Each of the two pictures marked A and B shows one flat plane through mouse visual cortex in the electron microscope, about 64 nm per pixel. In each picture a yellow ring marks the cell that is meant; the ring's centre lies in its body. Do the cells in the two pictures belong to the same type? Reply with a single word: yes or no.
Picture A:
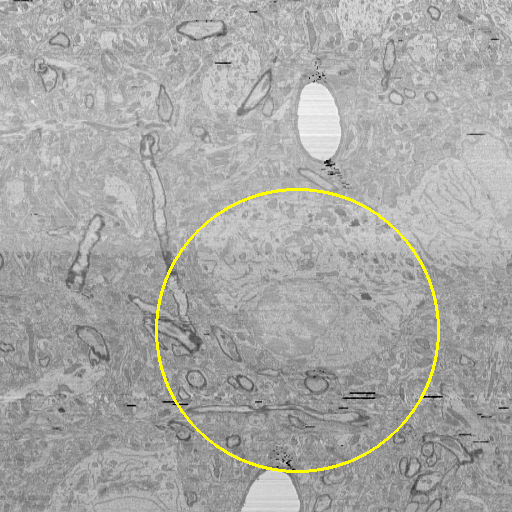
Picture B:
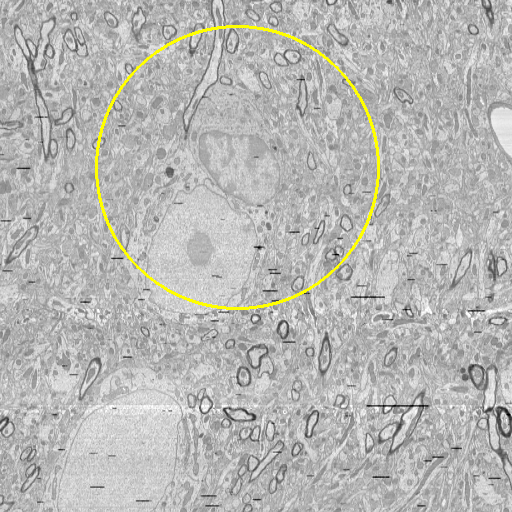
yes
